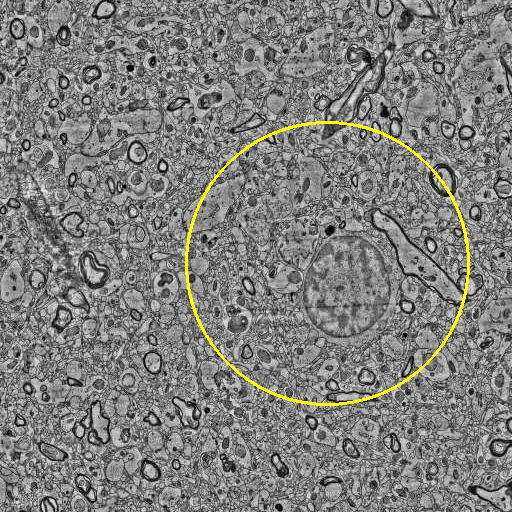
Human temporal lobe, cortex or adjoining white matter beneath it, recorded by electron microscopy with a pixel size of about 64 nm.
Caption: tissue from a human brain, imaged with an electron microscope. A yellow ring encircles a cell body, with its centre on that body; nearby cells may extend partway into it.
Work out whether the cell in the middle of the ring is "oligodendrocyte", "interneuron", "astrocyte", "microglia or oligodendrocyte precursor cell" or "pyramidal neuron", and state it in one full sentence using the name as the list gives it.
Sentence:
In the picture, the cell that the yellow ring surrounds at its centre is an oligodendrocyte.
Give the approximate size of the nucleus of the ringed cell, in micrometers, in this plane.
Roughly 7 micrometres by 6 micrometres, in this plane.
